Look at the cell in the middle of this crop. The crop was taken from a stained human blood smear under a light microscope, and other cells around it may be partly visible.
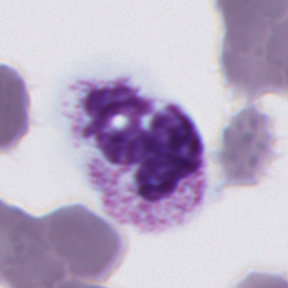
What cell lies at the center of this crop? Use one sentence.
The crop shows a neutrophil in its centre.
